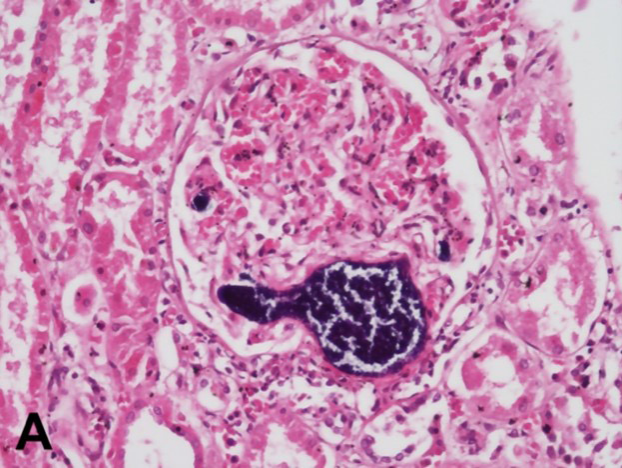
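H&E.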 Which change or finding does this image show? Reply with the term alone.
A: septic thrombo-emboli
